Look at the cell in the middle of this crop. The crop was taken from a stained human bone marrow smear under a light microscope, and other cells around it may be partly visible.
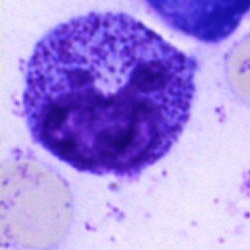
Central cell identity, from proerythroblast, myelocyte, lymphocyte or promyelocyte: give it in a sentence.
The cell sitting right in the middle is a promyelocyte.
